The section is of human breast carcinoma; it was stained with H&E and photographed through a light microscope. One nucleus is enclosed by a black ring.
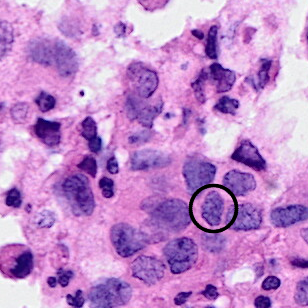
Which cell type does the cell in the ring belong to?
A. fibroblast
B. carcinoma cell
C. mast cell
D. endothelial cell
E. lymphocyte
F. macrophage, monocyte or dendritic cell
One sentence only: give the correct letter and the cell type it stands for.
Option B holds, since the cell in the ring is a carcinoma cell.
